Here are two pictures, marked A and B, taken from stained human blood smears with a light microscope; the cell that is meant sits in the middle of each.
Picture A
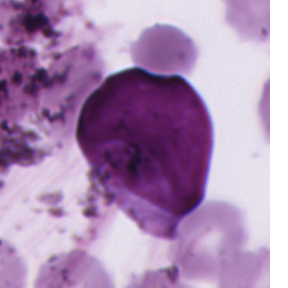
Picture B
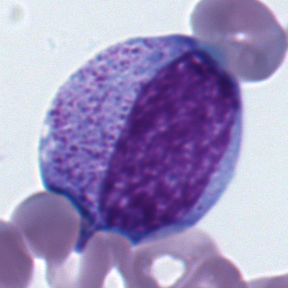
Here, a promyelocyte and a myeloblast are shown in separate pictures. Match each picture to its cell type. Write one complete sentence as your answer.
The cell in picture A is a myeloblast, and the one in picture B is a promyelocyte.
